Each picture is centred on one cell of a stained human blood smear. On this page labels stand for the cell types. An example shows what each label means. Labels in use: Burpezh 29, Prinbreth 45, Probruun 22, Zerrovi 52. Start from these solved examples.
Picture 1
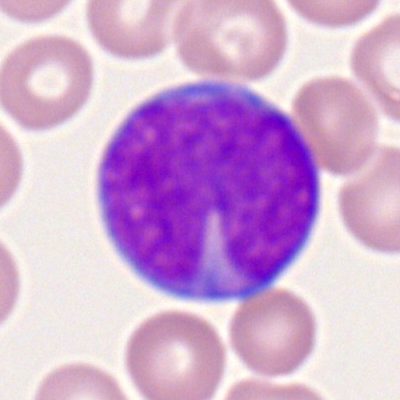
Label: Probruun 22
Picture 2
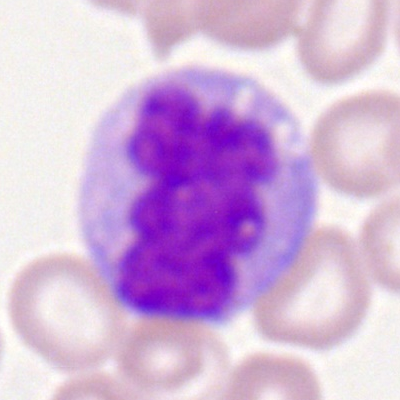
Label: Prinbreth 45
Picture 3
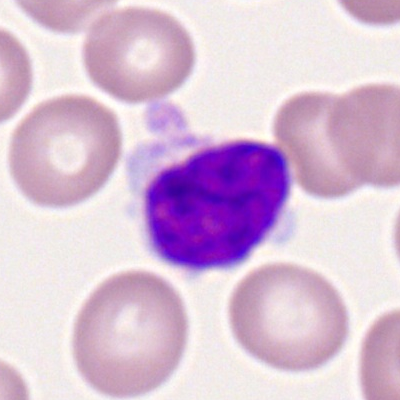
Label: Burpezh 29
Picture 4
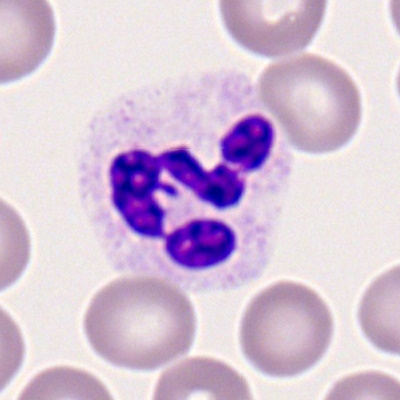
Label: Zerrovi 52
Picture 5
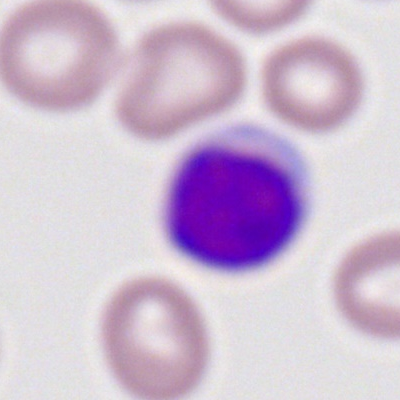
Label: Burpezh 29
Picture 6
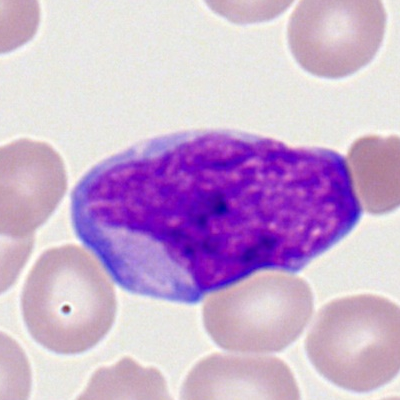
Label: Probruun 22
